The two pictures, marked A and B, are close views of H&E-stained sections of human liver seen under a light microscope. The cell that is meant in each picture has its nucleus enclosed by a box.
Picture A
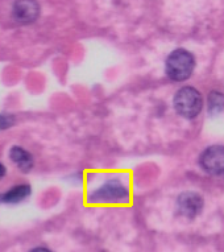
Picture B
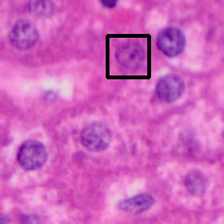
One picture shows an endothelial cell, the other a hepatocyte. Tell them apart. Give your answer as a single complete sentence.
It is picture A that shows an endothelial cell, and picture B that shows a hepatocyte.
